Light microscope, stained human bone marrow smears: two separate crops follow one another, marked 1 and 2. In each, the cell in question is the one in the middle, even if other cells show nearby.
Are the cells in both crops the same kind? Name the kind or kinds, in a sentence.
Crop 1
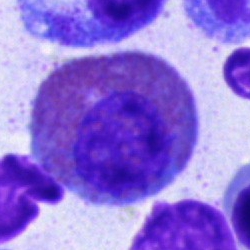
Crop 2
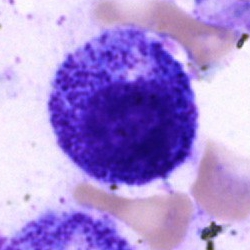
No, it is an eosinophil that crop 1 shows, and a promyelocyte that crop 2 shows.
